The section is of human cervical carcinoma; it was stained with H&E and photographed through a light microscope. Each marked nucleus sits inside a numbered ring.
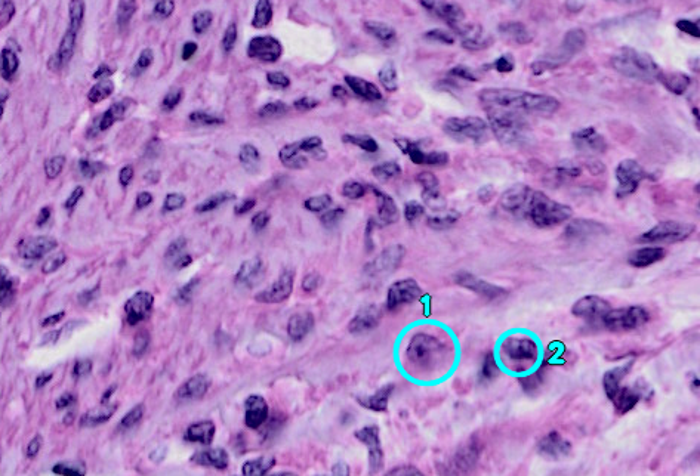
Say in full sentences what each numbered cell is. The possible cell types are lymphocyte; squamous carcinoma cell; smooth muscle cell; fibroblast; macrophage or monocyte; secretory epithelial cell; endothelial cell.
Cell 1 is a macrophage or monocyte and cell 2 is a lymphocyte.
